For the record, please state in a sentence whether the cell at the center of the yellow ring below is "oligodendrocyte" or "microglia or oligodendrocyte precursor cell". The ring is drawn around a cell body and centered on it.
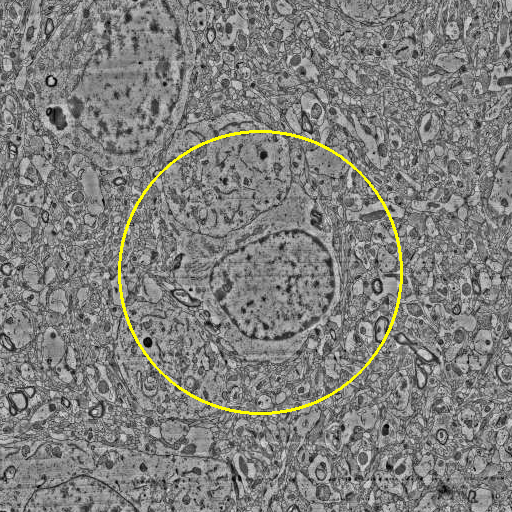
The cell at the ring's center is a microglial cell or oligodendrocyte precursor cell.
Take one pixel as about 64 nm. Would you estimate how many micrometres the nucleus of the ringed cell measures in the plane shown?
The nucleus of the ringed cell is approximately 8 micrometres across in this plane.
